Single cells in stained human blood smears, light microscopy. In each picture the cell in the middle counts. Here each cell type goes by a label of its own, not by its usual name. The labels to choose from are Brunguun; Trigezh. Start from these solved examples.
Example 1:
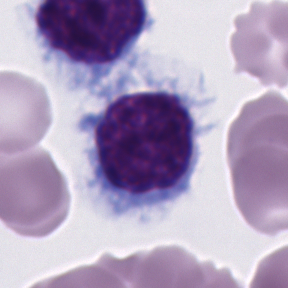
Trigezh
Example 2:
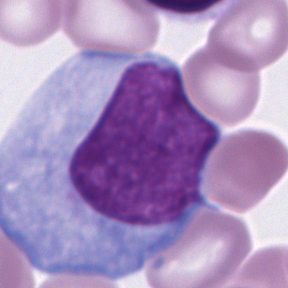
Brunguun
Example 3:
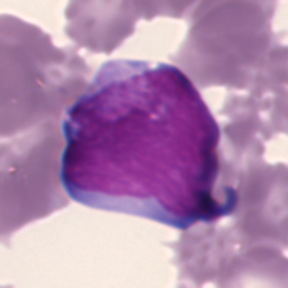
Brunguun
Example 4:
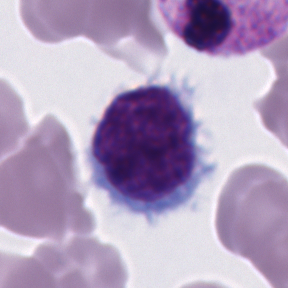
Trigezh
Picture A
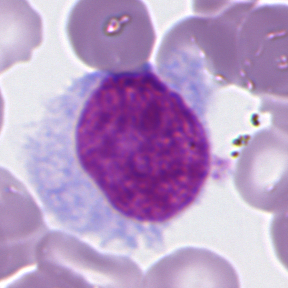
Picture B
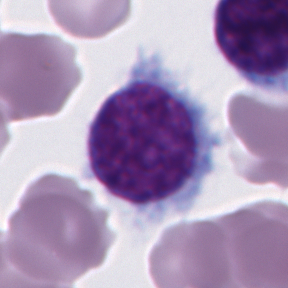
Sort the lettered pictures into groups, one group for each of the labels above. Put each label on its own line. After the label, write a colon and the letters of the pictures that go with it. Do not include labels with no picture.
Trigezh: A, B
